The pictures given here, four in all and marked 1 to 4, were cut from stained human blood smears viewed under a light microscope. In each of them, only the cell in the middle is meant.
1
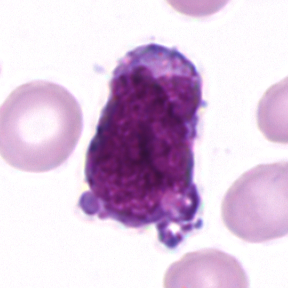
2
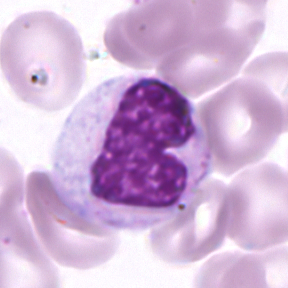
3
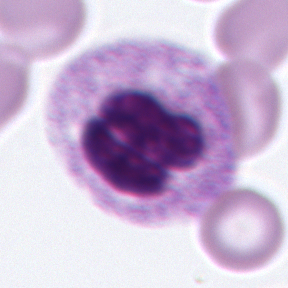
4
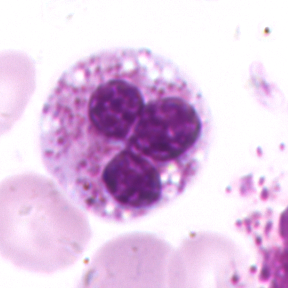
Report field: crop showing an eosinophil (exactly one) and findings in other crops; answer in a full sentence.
The central cell of crop 4 is identified as an eosinophil, while crop 1 is an atypical promyelocyte, crop 2 is a band neutrophil and crop 3 is a segmented neutrophil.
